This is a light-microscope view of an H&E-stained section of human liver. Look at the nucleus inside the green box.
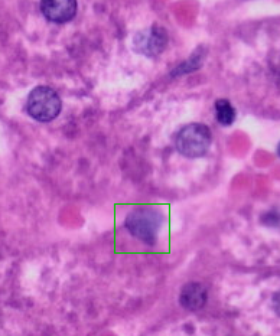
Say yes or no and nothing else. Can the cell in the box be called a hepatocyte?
no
